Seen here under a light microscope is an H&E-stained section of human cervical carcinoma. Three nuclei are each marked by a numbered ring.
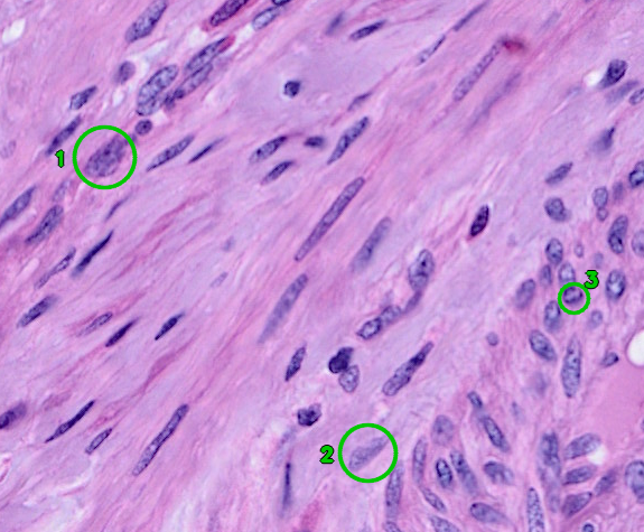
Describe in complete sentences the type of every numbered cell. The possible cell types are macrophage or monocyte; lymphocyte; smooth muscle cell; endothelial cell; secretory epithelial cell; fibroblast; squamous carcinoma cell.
Cell 1 is an endothelial cell. Cell 2 is a fibroblast. Cell 3 is a smooth muscle cell.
